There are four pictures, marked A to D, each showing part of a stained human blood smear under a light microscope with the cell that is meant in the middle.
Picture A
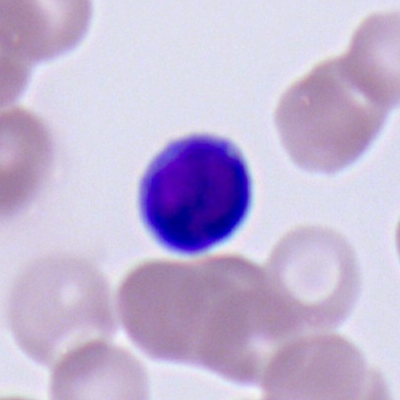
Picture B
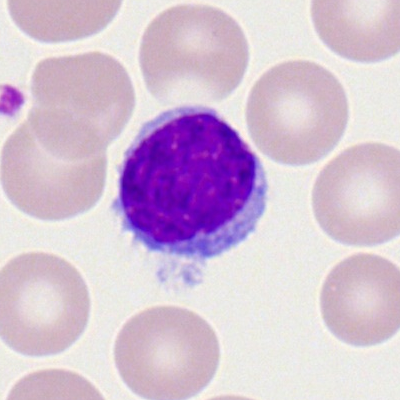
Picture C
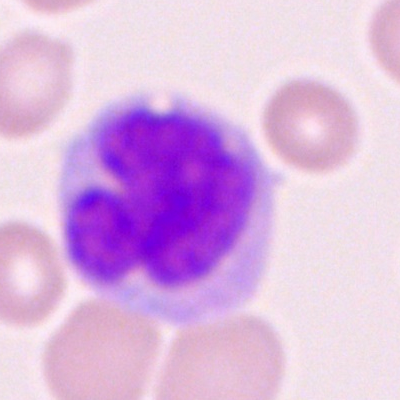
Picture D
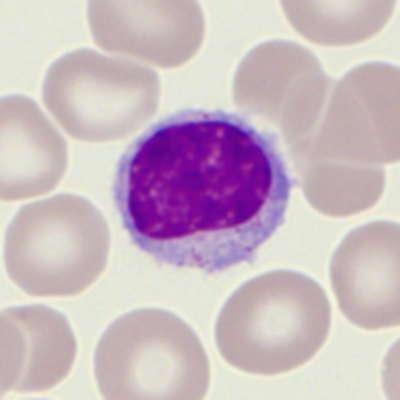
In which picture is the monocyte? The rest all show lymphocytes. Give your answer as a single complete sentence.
The picture with the monocyte is C.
